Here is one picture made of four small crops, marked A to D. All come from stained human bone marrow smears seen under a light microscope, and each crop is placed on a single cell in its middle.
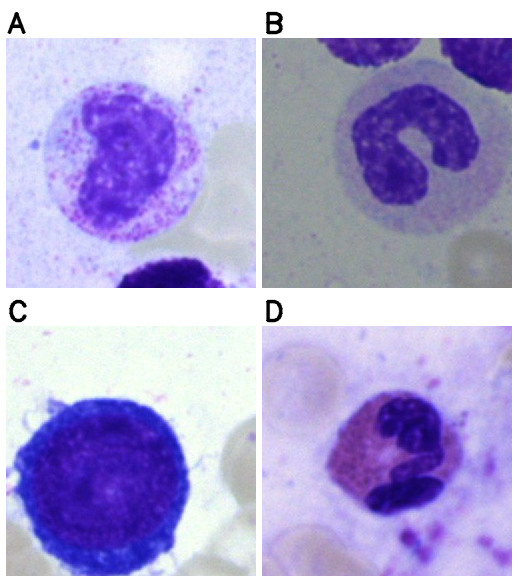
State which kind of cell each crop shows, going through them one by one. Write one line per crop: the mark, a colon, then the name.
A: metamyelocyte
B: band neutrophil
C: proerythroblast
D: eosinophil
